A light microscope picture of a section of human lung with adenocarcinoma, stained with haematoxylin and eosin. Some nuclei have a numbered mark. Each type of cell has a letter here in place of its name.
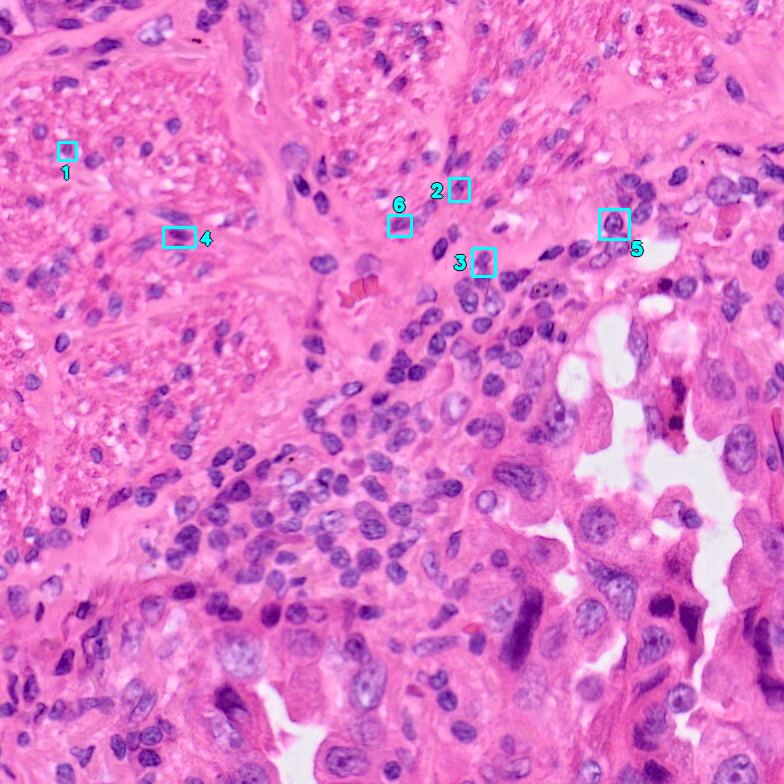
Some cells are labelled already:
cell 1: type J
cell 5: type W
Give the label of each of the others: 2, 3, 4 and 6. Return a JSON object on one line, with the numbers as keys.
{"2": "type J", "3": "type W", "4": "type J", "6": "type J"}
